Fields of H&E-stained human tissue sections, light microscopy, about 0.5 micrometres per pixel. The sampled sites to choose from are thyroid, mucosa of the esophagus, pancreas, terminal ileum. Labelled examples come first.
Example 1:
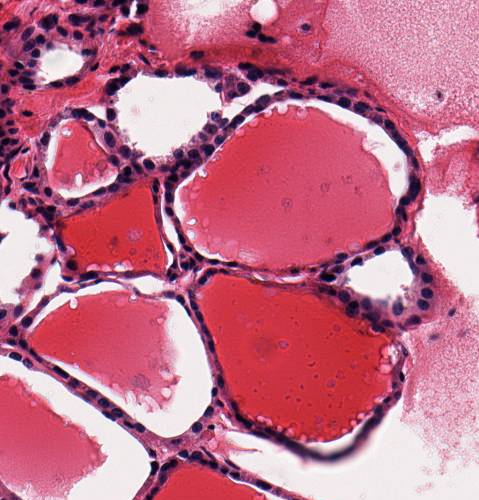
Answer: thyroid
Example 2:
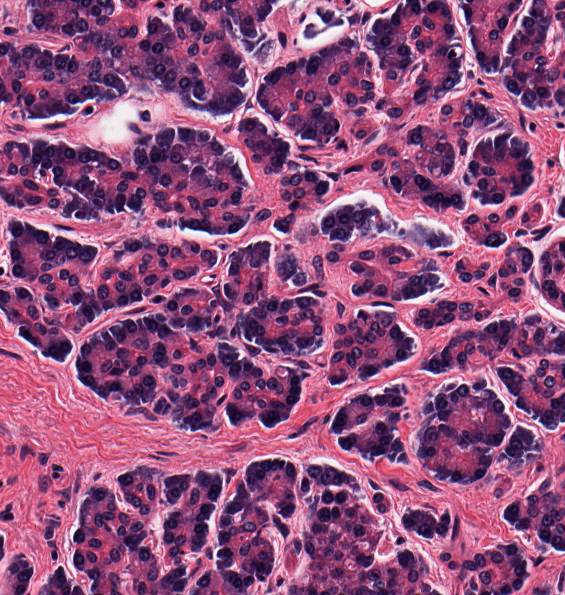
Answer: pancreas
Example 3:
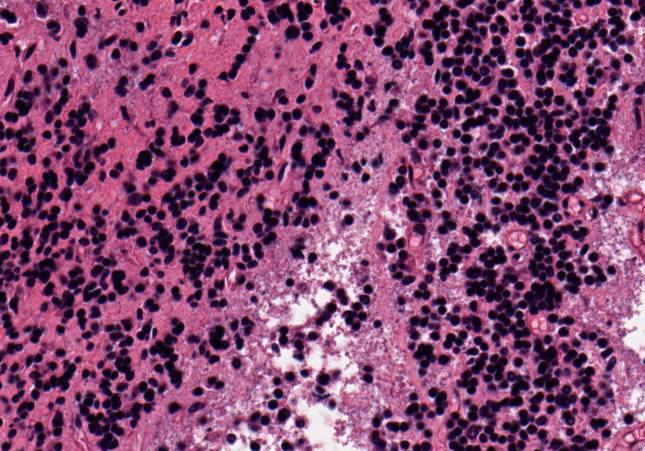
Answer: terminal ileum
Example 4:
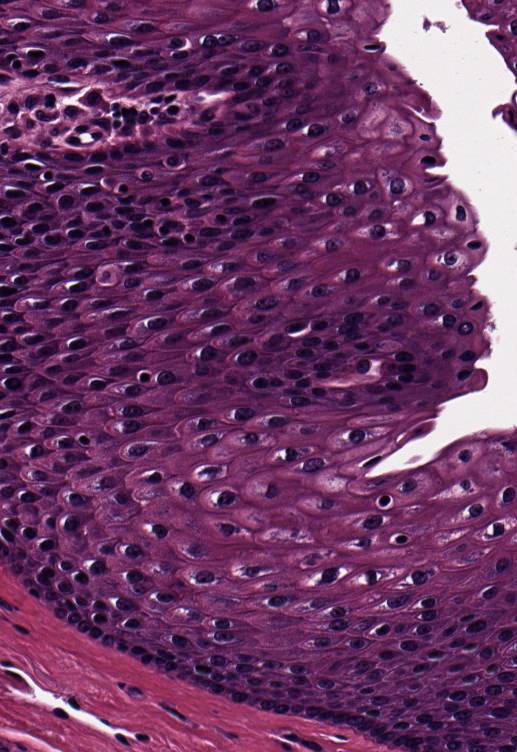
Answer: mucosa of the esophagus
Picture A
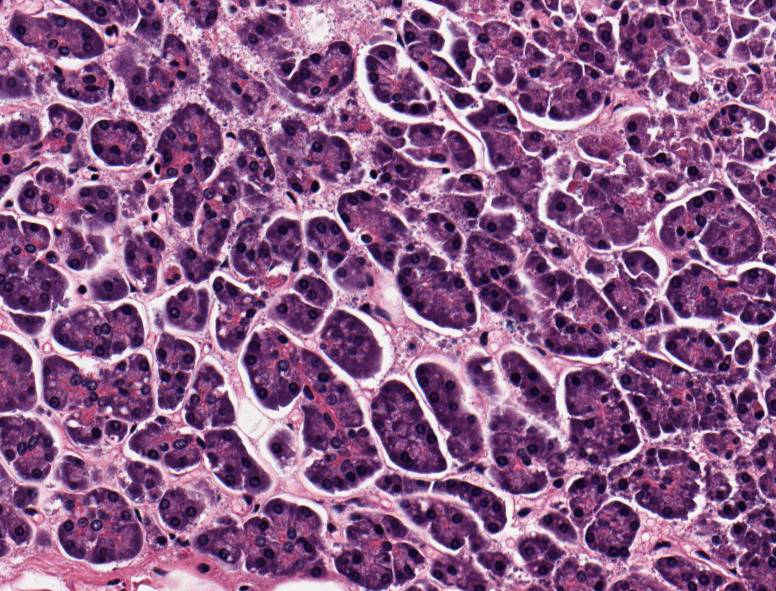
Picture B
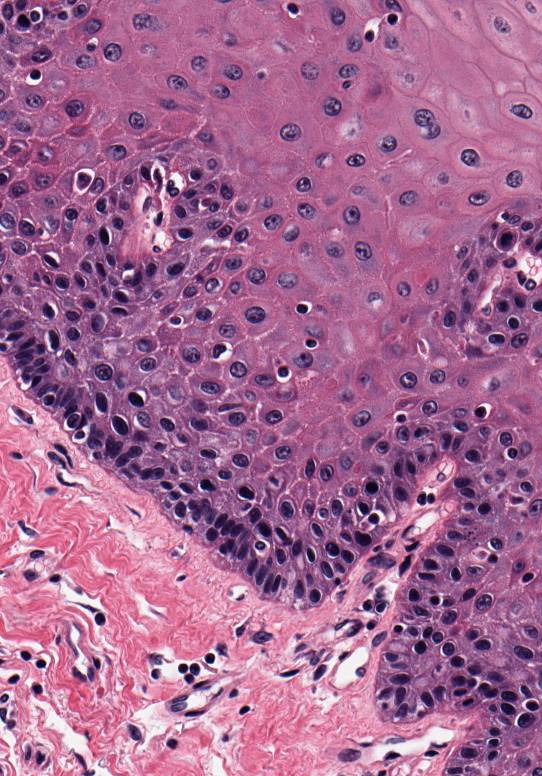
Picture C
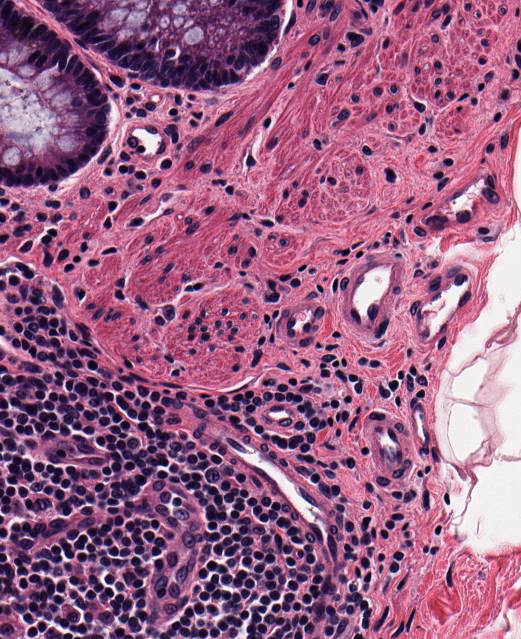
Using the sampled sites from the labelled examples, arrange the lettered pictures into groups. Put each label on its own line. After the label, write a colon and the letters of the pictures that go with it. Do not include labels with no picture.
mucosa of the esophagus: B
pancreas: A
terminal ileum: C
